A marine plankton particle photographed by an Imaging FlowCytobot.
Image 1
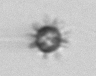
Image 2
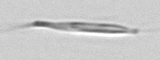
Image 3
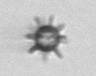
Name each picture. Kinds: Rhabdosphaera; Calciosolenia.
1. Rhabdosphaera
2. Calciosolenia
3. Rhabdosphaera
